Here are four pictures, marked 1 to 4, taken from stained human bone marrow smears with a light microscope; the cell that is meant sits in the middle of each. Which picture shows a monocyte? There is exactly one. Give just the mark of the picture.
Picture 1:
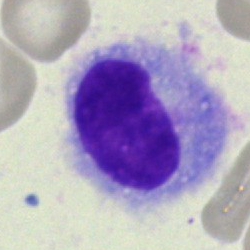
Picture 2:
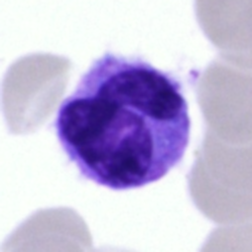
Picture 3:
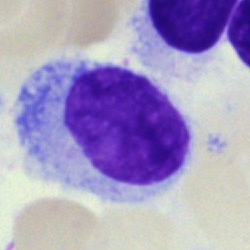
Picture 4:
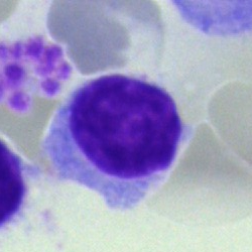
2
